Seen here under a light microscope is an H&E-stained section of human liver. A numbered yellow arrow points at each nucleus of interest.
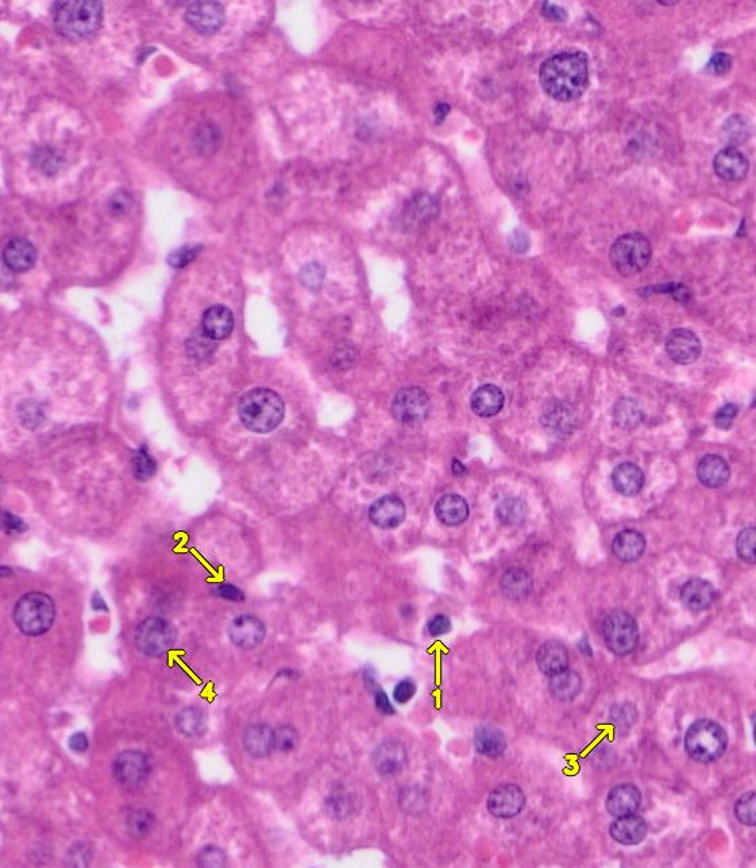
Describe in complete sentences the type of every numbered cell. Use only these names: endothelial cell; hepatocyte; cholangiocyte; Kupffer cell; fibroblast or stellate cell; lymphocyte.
Cell 1 is a lymphocyte. Cell 2 is a fibroblast or stellate cell. Cells 3 and 4 are hepatocytes.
